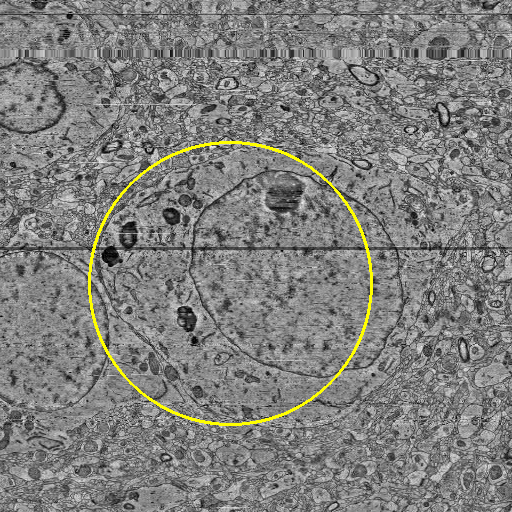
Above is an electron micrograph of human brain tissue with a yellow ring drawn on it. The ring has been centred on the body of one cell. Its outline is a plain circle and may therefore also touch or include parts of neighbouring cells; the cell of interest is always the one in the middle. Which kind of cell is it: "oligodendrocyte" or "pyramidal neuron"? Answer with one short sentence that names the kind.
The ring's central cell body is that of a pyramidal neuron.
